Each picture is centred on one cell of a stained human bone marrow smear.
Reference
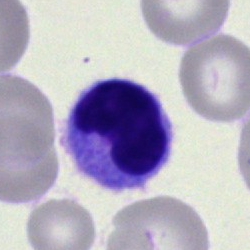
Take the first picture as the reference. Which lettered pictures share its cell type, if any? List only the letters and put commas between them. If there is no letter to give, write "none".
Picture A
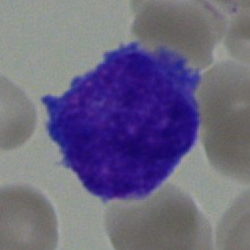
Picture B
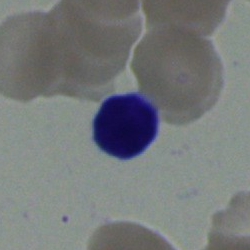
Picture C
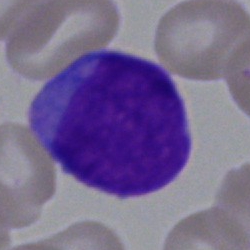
B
